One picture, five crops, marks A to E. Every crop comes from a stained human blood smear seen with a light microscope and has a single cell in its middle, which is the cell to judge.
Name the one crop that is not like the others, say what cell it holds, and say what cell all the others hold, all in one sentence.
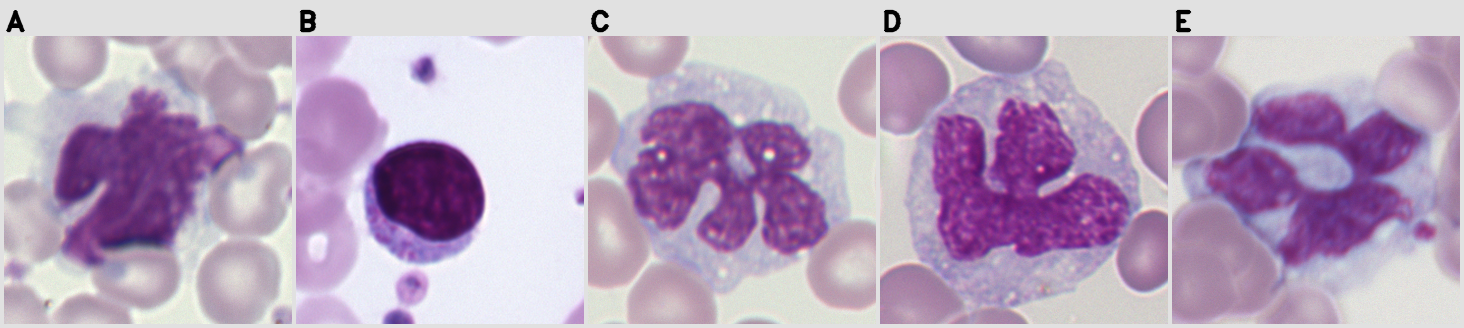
Crop B stands apart as a large granular lymphocyte, whereas the remaining crops all show monocytes.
